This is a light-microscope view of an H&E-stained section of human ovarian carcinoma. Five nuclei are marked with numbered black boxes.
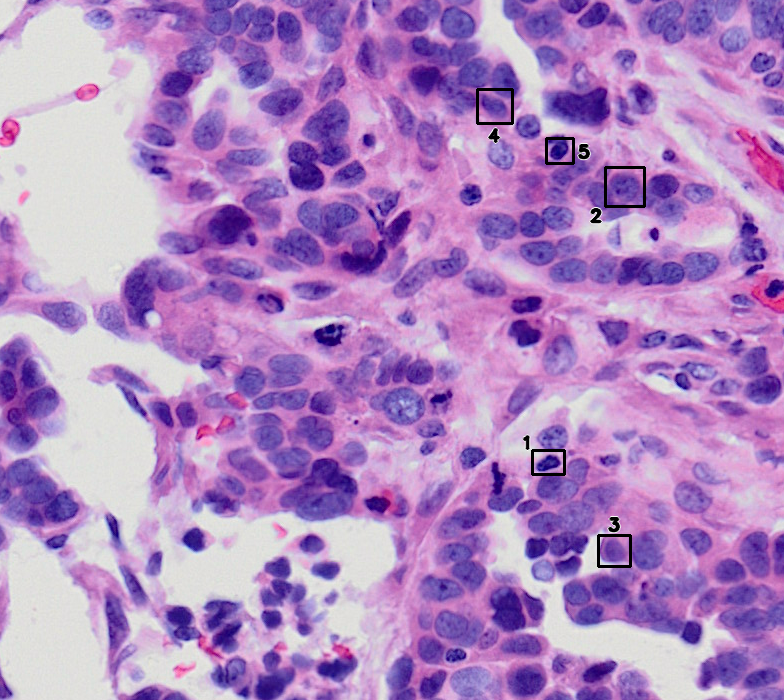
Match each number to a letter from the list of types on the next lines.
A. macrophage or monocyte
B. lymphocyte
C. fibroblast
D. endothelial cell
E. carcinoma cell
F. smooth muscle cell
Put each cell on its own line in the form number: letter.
1: B
2: E
3: E
4: E
5: B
